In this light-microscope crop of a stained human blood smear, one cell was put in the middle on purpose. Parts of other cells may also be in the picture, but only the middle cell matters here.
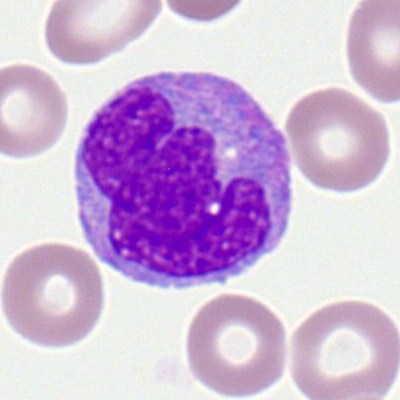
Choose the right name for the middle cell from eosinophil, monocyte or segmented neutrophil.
monocyte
